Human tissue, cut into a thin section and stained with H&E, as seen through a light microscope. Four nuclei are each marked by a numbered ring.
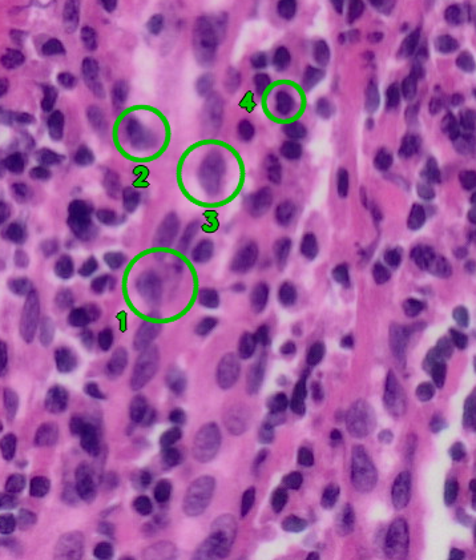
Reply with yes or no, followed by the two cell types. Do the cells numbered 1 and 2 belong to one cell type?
Yes, both are endothelial cells.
